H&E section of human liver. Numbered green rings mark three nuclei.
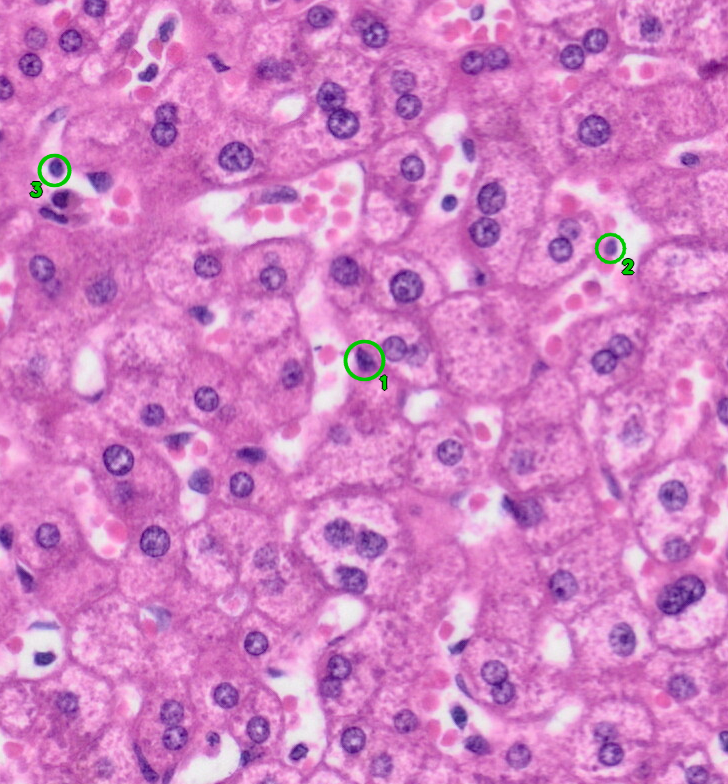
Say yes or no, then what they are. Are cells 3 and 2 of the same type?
Yes, the pair of cells 3 and 2 are both lymphocytes.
